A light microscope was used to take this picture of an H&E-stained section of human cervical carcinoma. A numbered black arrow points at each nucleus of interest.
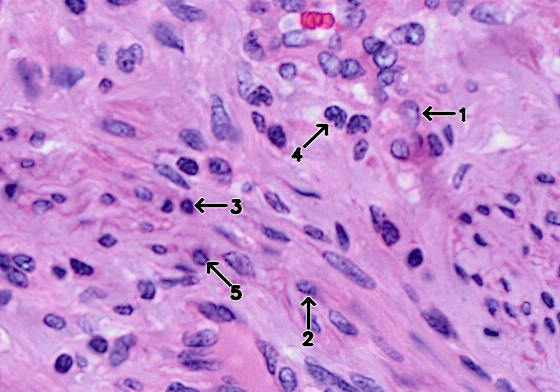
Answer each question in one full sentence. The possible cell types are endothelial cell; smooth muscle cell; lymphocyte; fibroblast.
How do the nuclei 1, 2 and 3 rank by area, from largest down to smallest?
From largest to smallest, the order is 1, 2, 3.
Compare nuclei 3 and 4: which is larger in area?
Nucleus 4 is larger, with an area about 2.5 times that of nucleus 3.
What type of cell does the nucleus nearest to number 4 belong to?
The cell nearest to number 4 is a lymphocyte.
